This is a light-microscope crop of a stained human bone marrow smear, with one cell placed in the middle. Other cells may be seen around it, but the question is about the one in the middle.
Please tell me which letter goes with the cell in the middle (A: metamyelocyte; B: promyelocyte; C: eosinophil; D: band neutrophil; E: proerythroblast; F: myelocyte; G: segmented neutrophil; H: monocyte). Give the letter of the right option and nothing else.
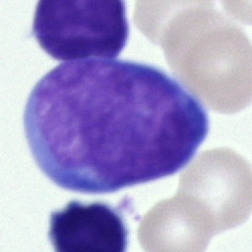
E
